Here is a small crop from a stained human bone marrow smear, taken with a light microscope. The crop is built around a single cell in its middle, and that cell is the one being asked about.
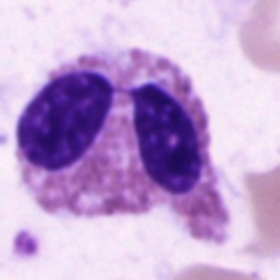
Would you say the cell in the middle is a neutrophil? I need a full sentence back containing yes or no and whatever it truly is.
No, the cell centered in the crop is an eosinophil, not a neutrophil.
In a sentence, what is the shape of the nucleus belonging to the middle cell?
This cell has a nucleus made up of two or more segments.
